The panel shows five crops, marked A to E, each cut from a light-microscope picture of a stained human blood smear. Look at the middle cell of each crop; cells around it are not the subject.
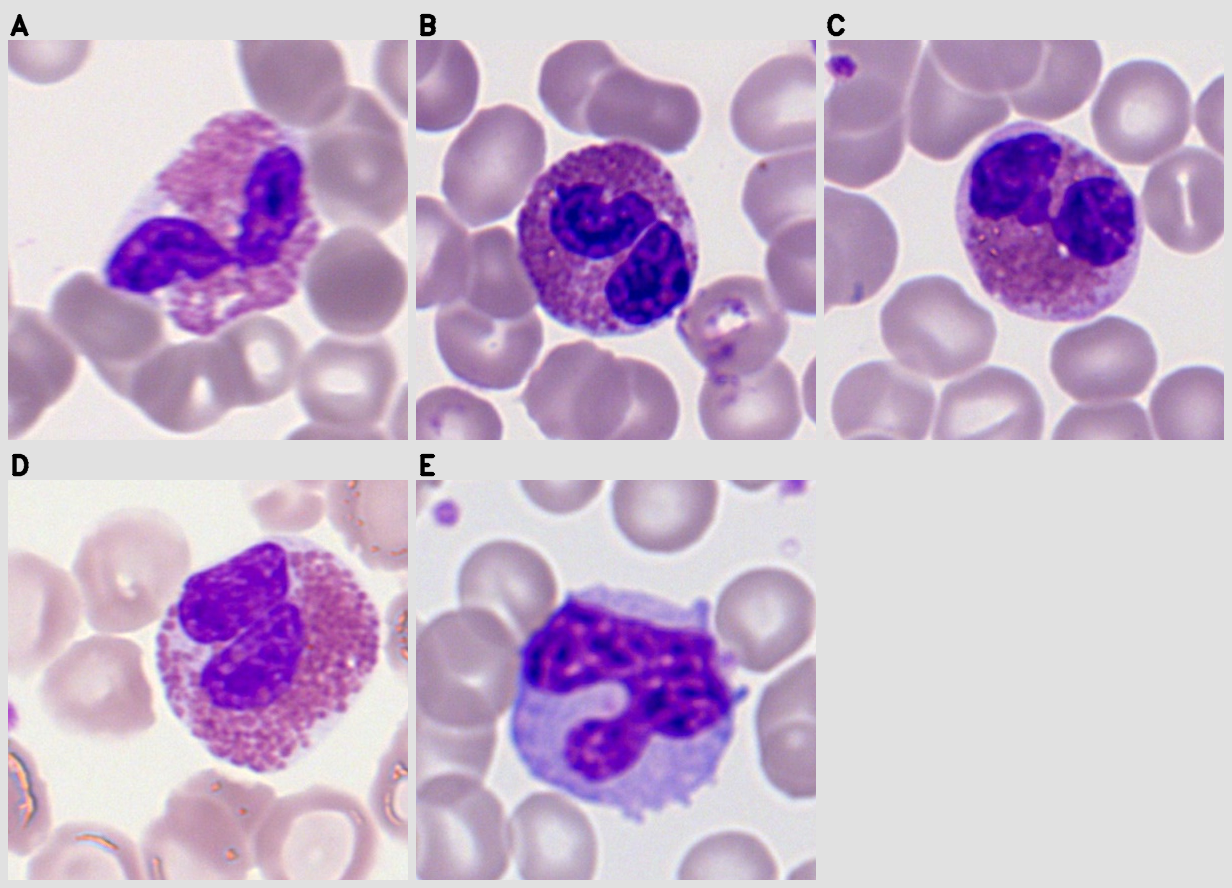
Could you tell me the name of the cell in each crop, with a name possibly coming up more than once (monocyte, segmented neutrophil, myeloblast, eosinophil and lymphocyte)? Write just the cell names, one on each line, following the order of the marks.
eosinophil
eosinophil
eosinophil
eosinophil
monocyte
